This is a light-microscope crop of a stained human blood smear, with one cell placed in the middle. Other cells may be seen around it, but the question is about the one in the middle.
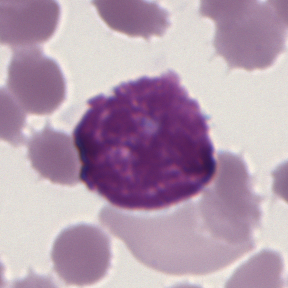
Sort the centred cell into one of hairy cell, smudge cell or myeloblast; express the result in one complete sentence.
Among the cells in view, the one in the middle is a smudge cell.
